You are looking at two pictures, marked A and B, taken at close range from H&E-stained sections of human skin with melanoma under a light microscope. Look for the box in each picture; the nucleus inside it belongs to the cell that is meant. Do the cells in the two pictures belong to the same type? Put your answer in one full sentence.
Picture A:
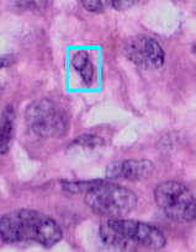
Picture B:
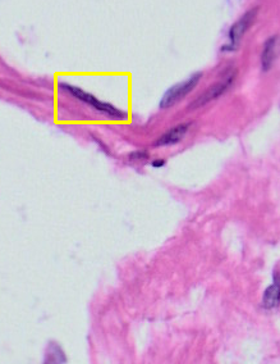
No; the cell in picture A is a “macrophage or monocyte”, while the one in picture B is an endothelial cell.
